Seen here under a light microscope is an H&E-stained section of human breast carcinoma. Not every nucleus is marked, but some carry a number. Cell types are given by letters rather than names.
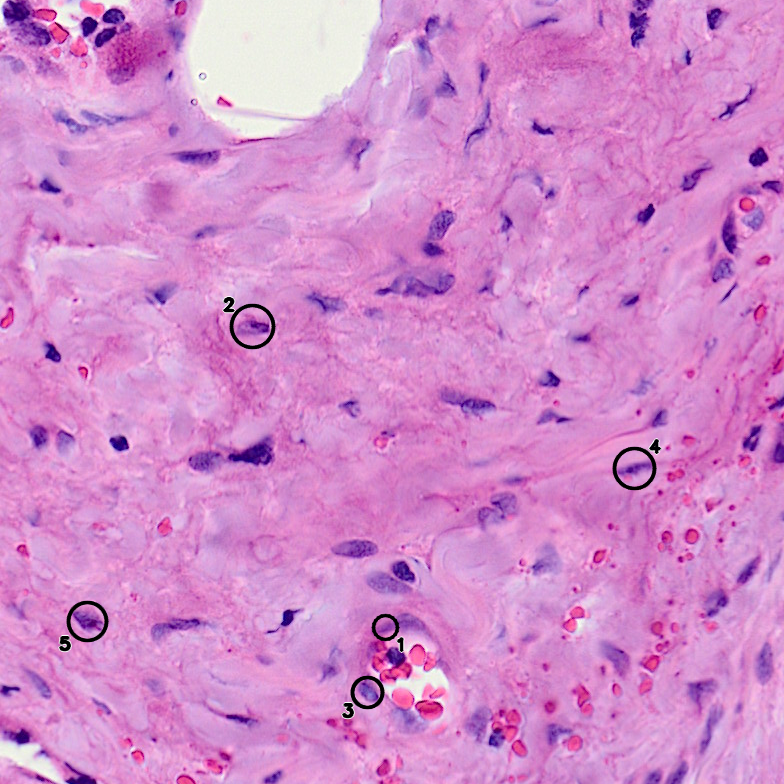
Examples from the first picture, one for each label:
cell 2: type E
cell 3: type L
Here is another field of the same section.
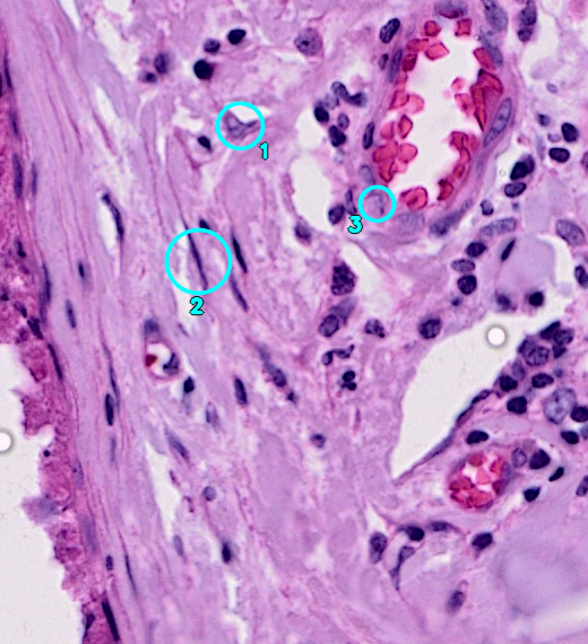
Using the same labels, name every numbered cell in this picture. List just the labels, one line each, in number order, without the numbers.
type E
type E
type L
